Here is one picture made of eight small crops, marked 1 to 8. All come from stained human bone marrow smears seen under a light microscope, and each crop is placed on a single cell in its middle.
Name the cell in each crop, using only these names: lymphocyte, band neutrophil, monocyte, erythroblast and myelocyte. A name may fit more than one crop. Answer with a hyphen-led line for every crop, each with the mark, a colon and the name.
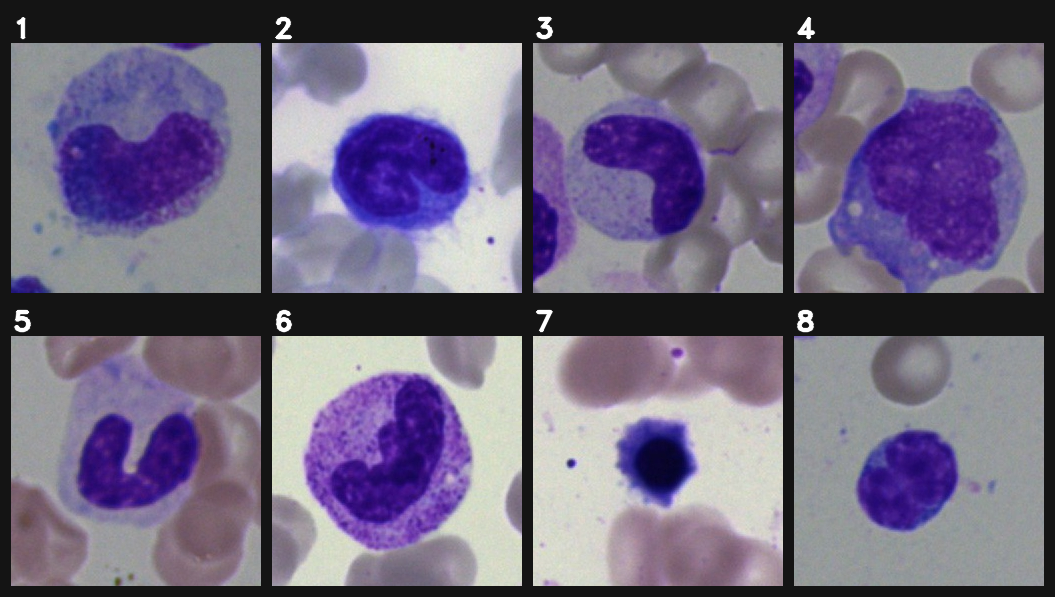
- 1: monocyte
- 2: monocyte
- 3: band neutrophil
- 4: monocyte
- 5: band neutrophil
- 6: band neutrophil
- 7: erythroblast
- 8: lymphocyte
